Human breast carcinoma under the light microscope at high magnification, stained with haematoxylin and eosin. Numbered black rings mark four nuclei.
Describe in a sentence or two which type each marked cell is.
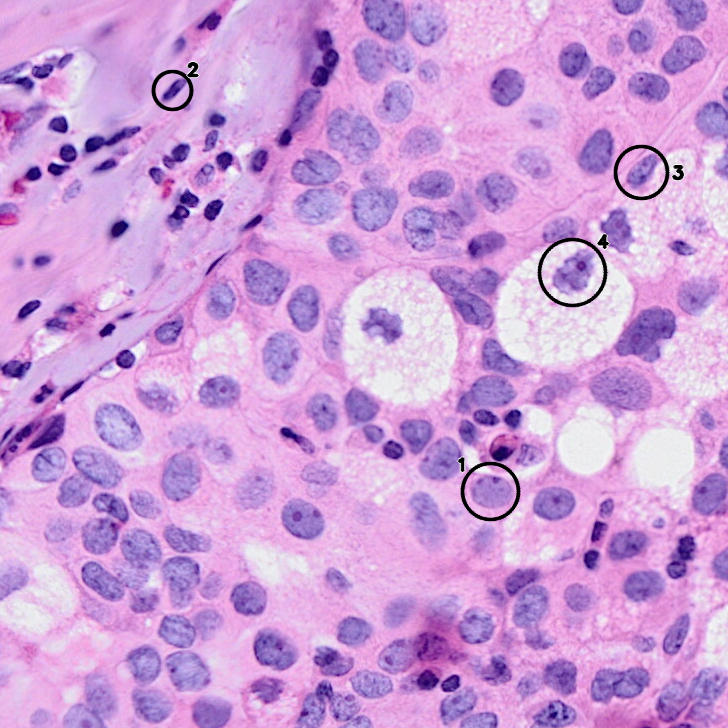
Cells 1, 3 and 4 are carcinoma cells. Cell 2 is a lymphocyte.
